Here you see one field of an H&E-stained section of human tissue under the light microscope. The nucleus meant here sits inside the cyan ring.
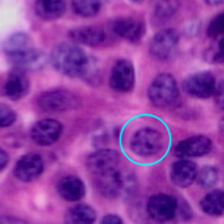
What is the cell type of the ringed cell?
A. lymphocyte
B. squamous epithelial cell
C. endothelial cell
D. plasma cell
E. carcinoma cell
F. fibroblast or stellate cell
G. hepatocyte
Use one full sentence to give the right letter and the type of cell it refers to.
Option D describes the ringed cell accurately as a plasma cell.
